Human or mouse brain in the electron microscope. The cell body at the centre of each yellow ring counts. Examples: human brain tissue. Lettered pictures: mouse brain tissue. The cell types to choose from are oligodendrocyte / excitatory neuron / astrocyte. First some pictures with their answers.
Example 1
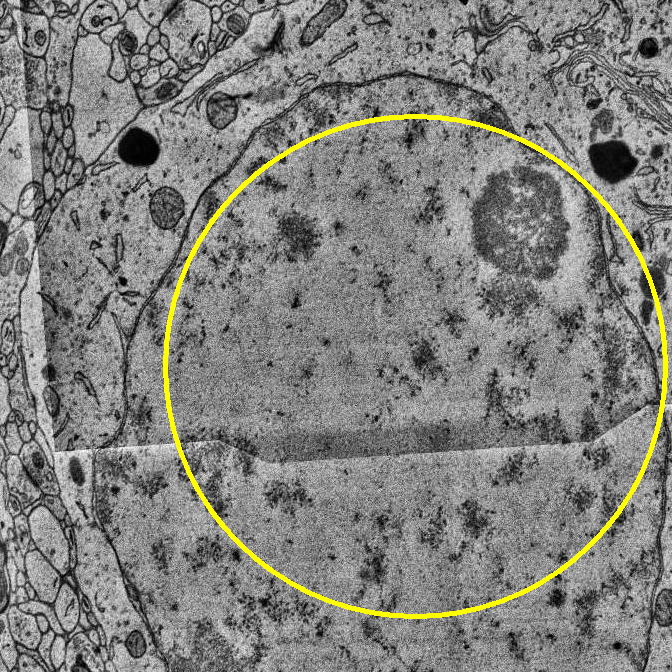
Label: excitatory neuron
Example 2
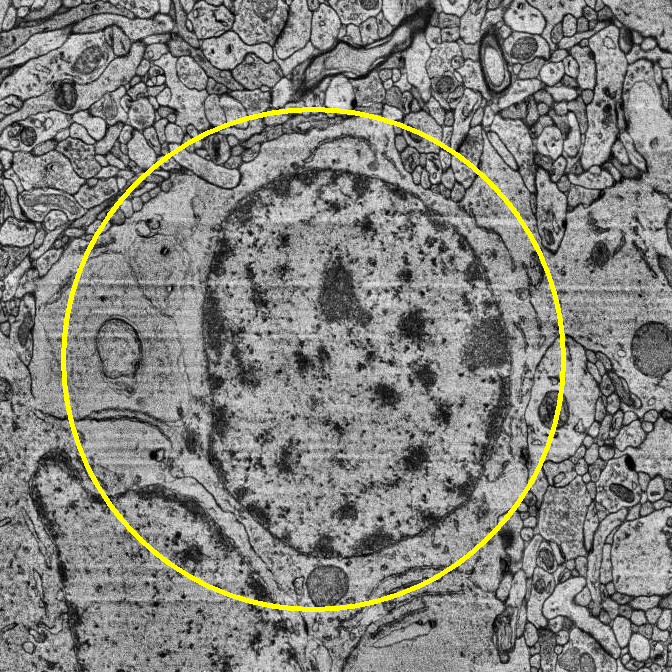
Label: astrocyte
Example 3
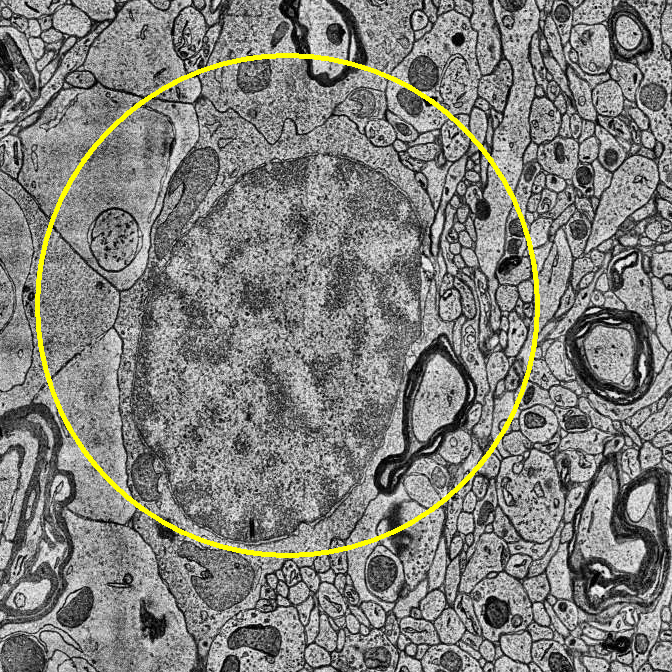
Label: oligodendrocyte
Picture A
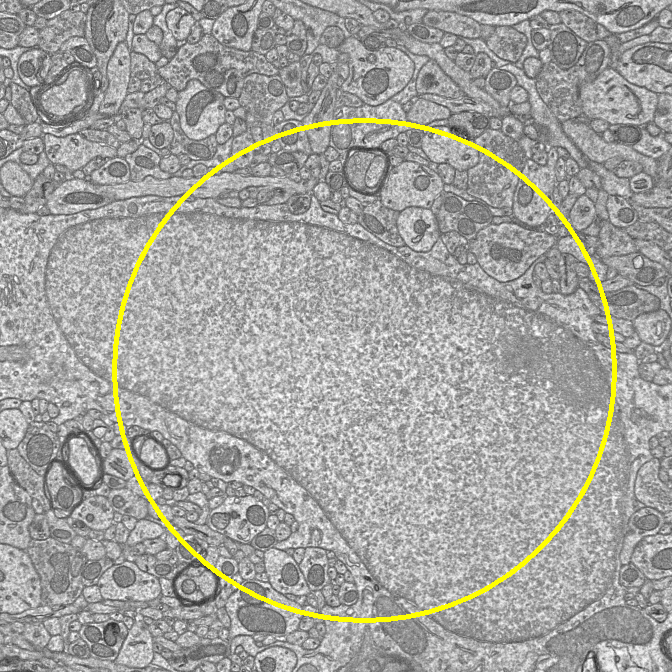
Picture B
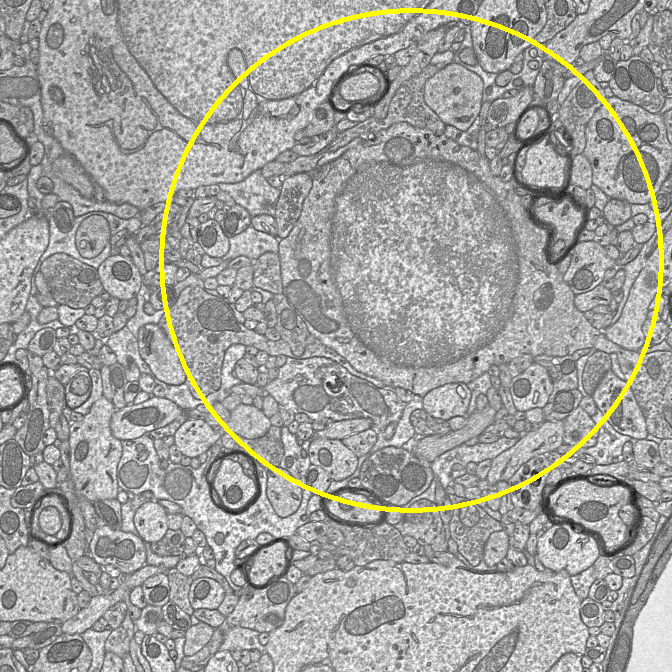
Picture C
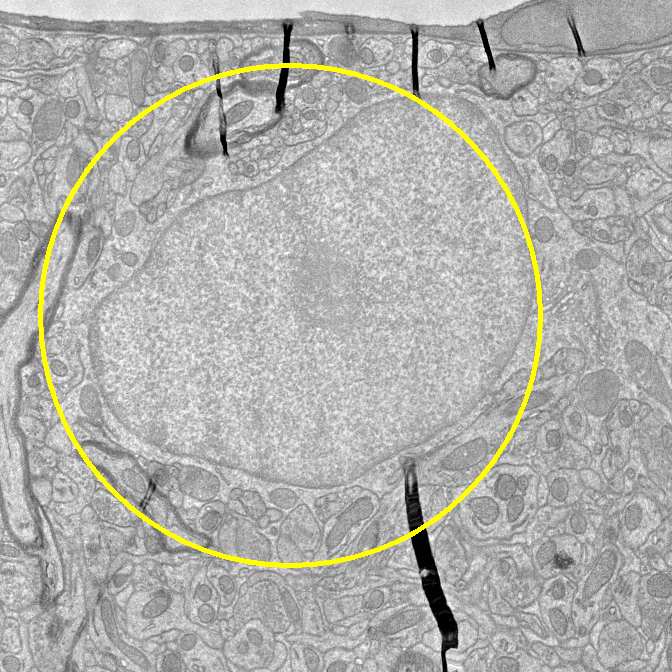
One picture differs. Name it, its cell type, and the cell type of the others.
B (oligodendrocyte) is the exception; every other picture is astrocyte.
